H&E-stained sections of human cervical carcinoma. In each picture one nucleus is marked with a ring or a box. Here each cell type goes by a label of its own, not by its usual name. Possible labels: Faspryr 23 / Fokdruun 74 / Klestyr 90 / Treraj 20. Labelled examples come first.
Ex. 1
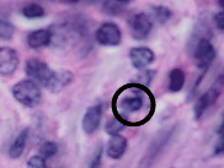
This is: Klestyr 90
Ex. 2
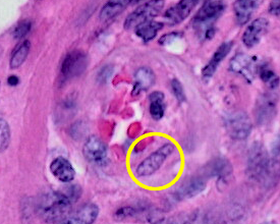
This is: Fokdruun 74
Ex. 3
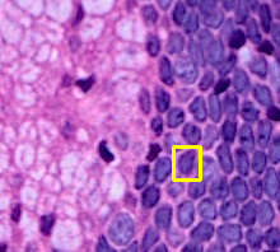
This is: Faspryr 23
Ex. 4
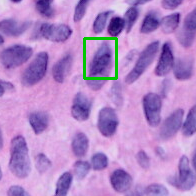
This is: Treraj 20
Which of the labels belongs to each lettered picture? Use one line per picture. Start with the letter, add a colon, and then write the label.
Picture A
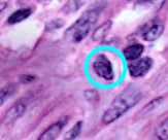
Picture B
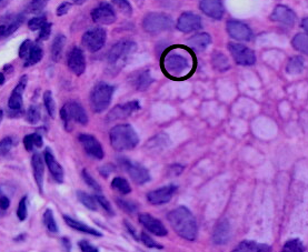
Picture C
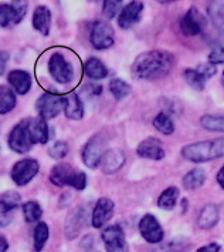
A: Klestyr 90
B: Faspryr 23
C: Klestyr 90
